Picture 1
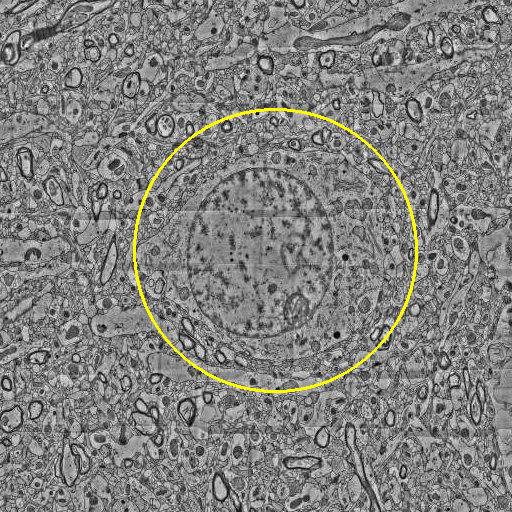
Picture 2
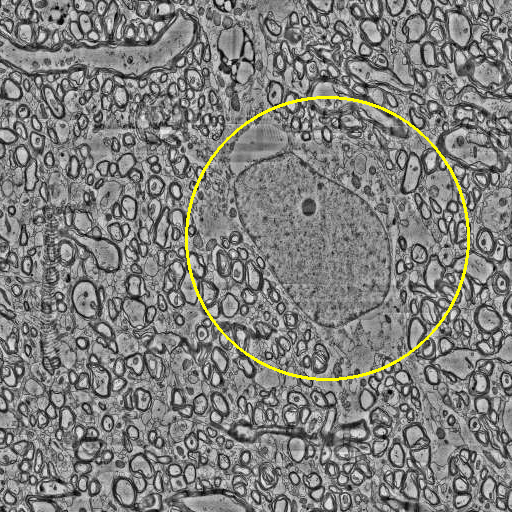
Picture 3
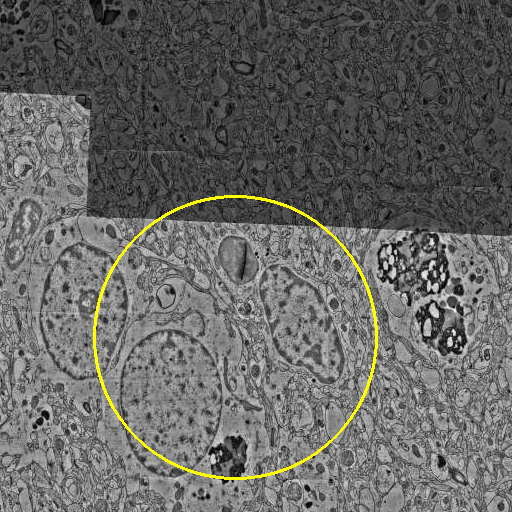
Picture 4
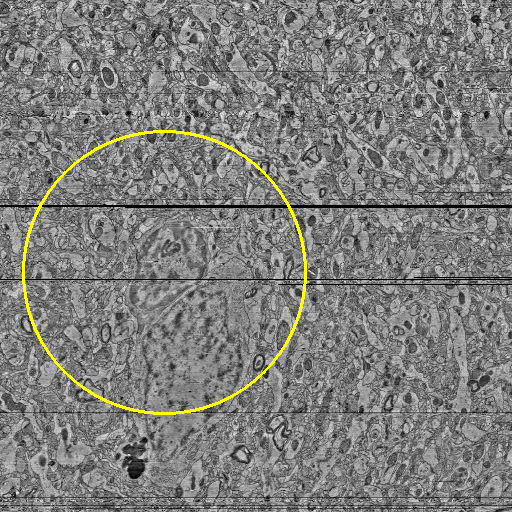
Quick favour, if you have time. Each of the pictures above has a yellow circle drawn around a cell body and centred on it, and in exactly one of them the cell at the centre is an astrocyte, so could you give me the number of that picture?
2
